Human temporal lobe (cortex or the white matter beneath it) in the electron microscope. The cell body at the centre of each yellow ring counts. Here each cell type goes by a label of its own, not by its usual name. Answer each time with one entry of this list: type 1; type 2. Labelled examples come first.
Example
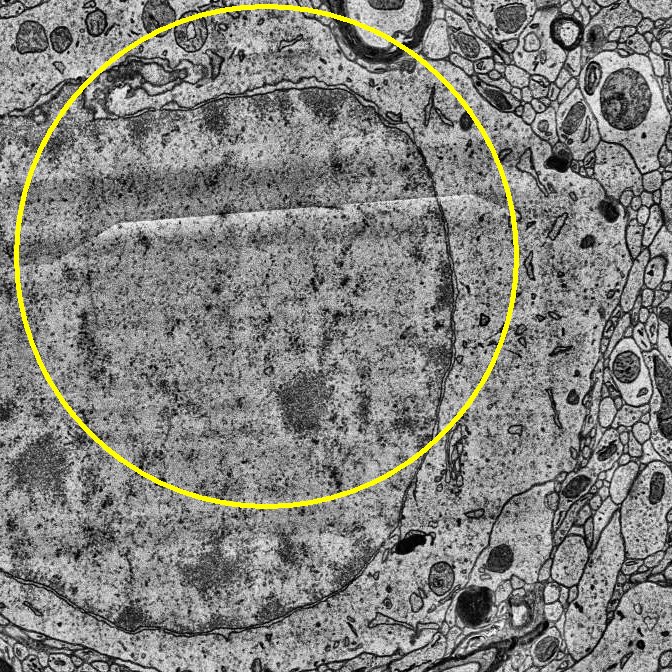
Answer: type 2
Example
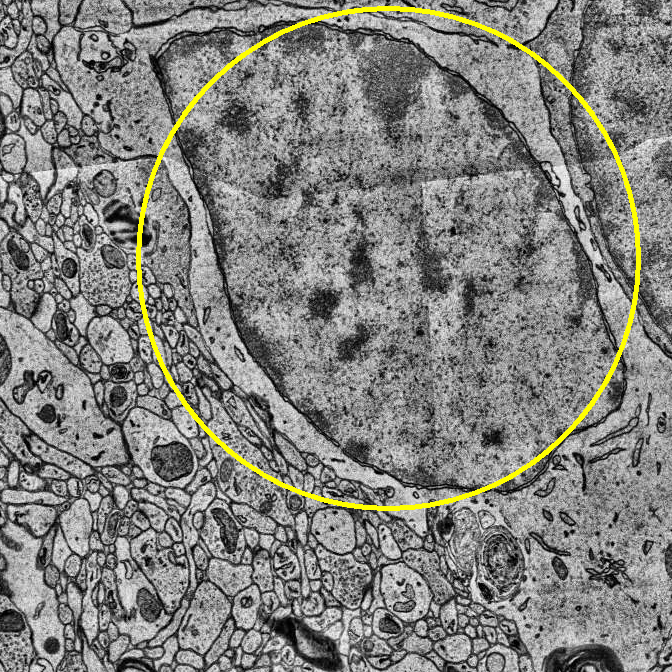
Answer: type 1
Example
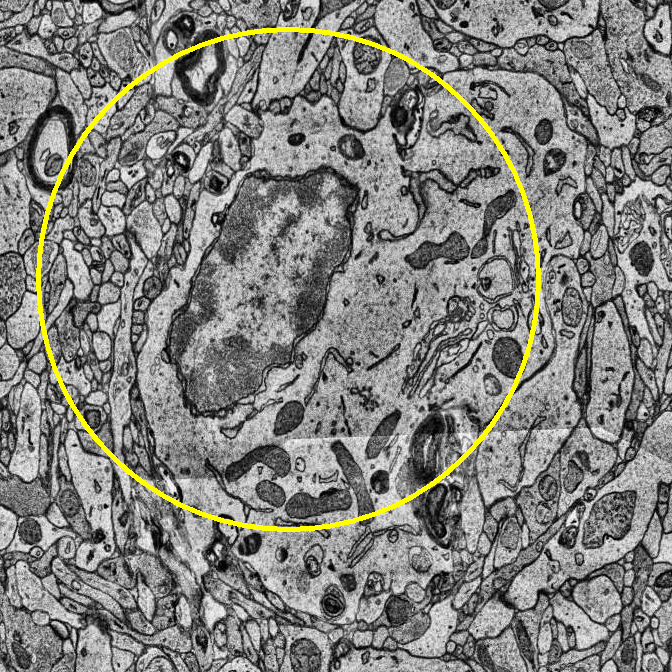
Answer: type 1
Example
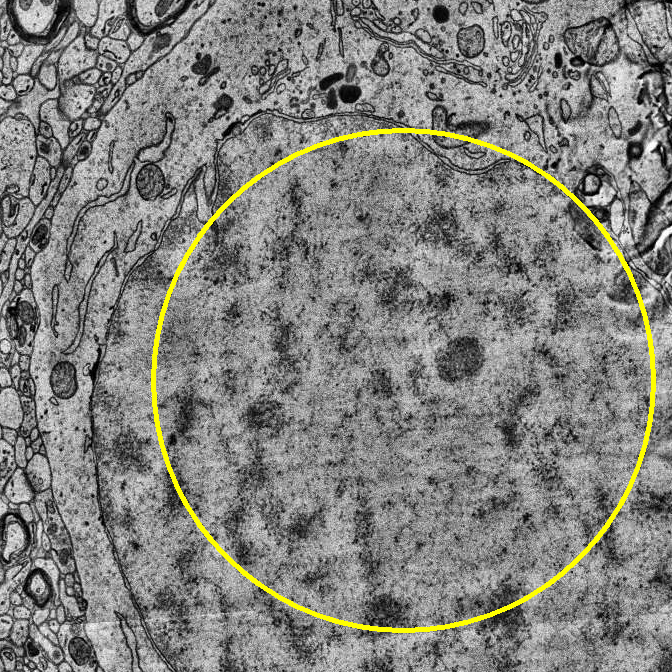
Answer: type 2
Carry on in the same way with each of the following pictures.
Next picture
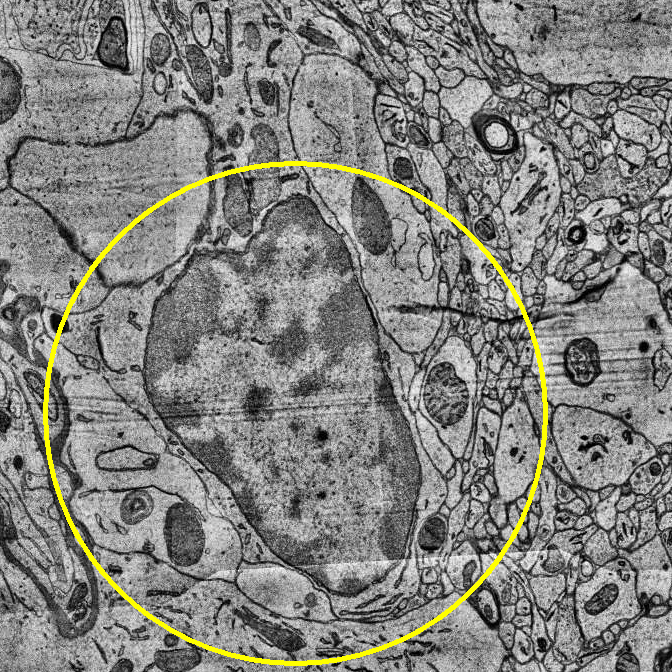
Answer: type 1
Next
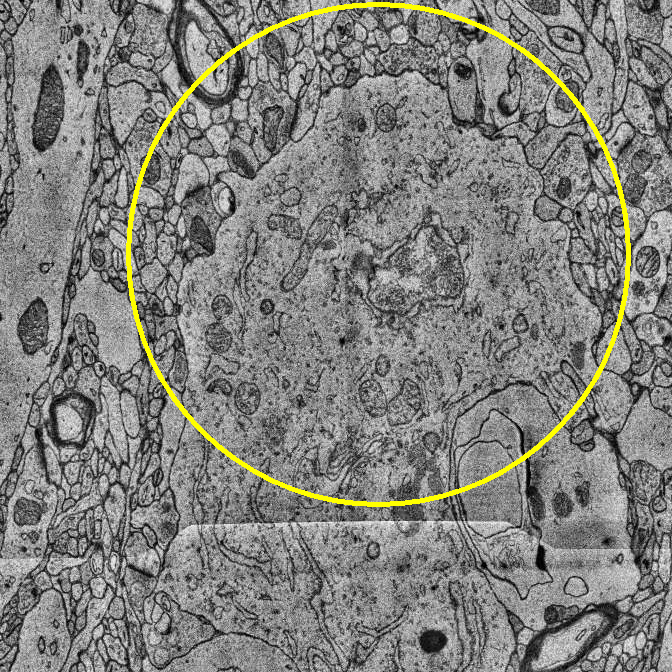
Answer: type 2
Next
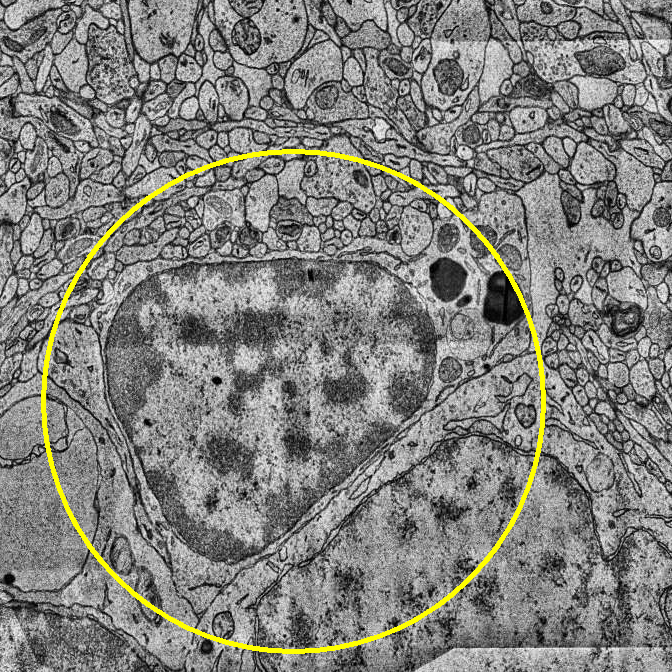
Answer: type 1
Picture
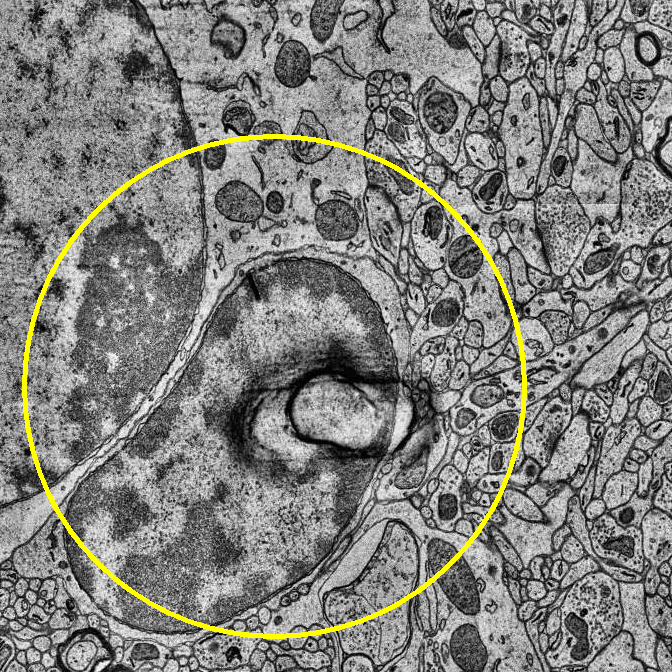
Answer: type 1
